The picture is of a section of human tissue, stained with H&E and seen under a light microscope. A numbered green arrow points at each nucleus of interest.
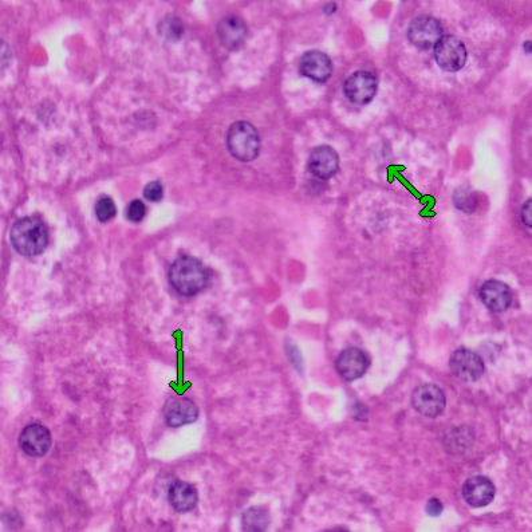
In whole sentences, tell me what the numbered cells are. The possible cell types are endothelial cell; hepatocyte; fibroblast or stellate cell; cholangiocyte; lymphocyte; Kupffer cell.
Cell 1 is a Kupffer cell. Cell 2 is a hepatocyte.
